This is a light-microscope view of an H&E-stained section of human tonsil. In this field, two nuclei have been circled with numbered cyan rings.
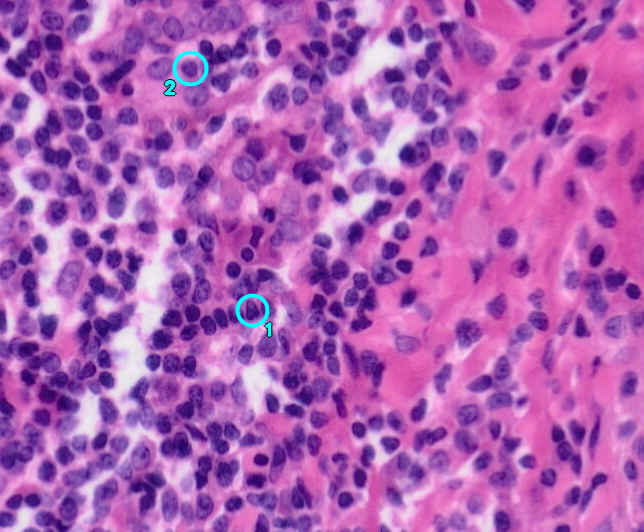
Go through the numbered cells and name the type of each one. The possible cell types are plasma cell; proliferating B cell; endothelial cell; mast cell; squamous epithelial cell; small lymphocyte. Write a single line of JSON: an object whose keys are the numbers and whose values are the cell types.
{"1": "small lymphocyte", "2": "endothelial cell"}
